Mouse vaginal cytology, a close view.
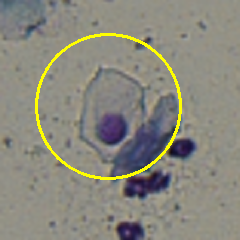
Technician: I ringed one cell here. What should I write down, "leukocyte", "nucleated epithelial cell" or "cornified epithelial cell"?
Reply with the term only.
nucleated epithelial cell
